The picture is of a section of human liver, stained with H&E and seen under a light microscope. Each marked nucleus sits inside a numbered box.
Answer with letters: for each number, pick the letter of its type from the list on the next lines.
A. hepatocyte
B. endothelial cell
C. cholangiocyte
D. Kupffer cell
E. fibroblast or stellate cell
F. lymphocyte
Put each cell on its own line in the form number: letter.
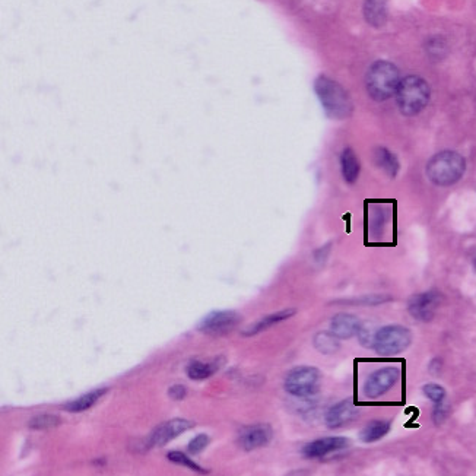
1: E
2: C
